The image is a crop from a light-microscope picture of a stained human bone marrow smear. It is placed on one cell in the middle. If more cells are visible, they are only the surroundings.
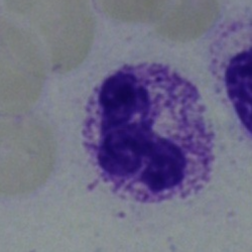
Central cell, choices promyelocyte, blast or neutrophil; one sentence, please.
To answer, the cell in the center of the crop is a neutrophil.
